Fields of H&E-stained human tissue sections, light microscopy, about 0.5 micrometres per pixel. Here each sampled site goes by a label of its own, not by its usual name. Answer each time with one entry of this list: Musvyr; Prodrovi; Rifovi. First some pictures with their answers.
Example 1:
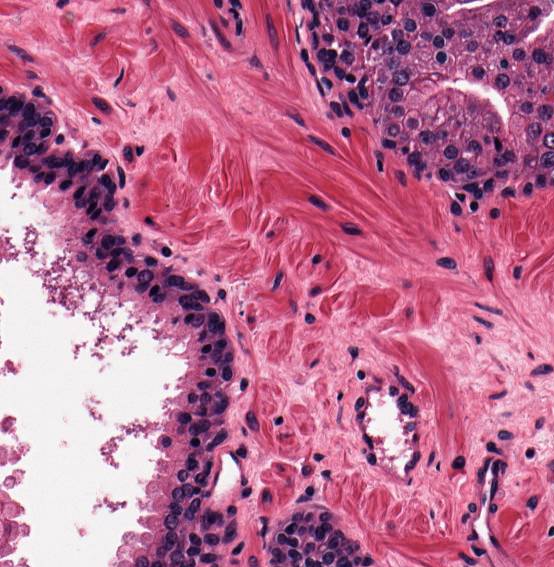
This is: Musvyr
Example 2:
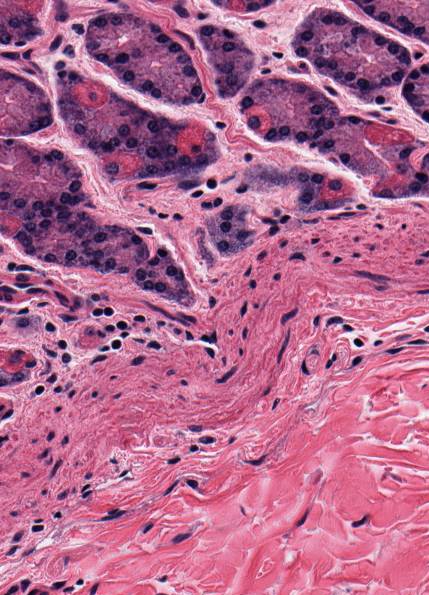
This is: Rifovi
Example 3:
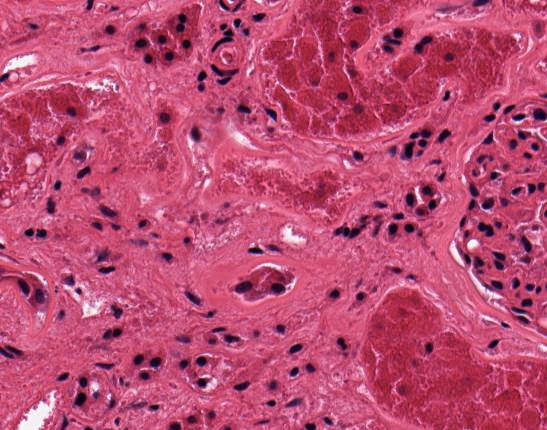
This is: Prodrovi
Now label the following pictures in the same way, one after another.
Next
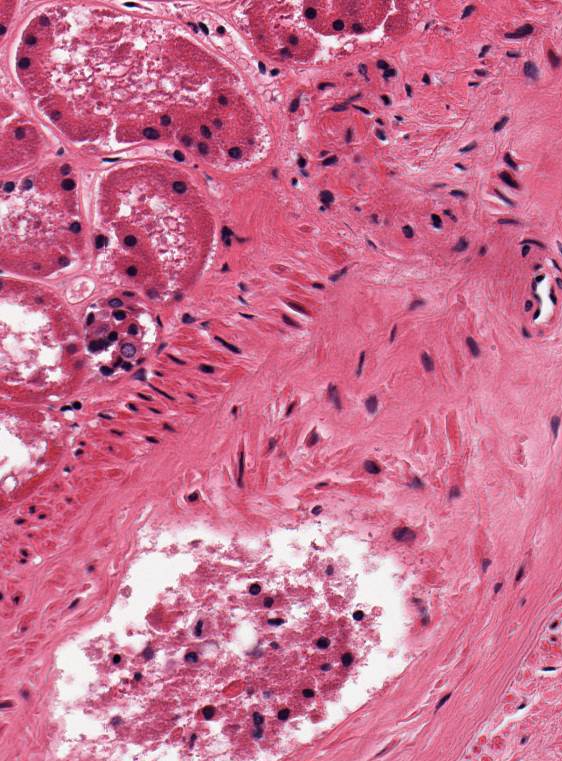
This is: Prodrovi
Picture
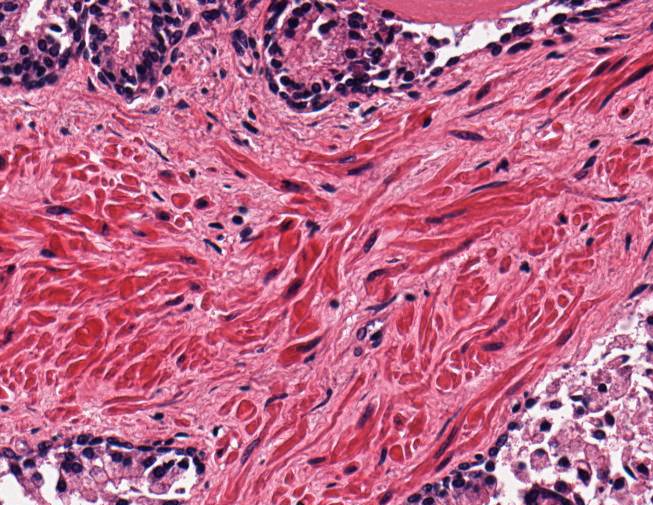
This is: Musvyr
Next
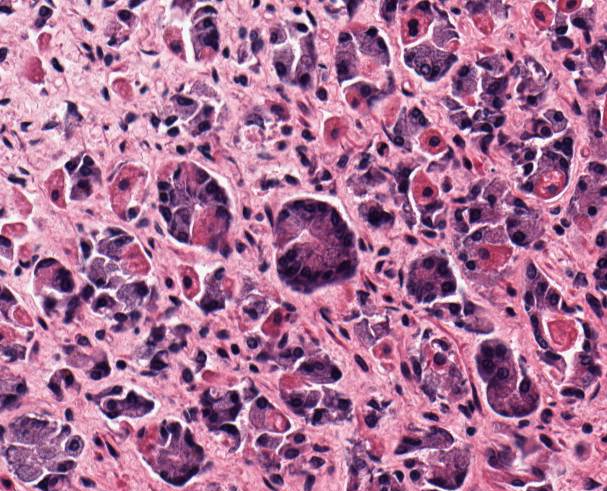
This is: Rifovi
